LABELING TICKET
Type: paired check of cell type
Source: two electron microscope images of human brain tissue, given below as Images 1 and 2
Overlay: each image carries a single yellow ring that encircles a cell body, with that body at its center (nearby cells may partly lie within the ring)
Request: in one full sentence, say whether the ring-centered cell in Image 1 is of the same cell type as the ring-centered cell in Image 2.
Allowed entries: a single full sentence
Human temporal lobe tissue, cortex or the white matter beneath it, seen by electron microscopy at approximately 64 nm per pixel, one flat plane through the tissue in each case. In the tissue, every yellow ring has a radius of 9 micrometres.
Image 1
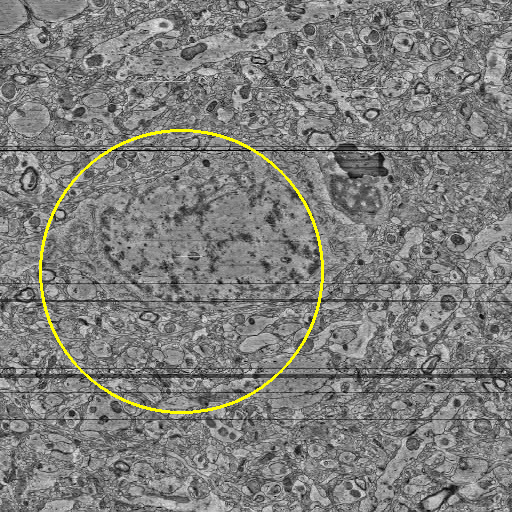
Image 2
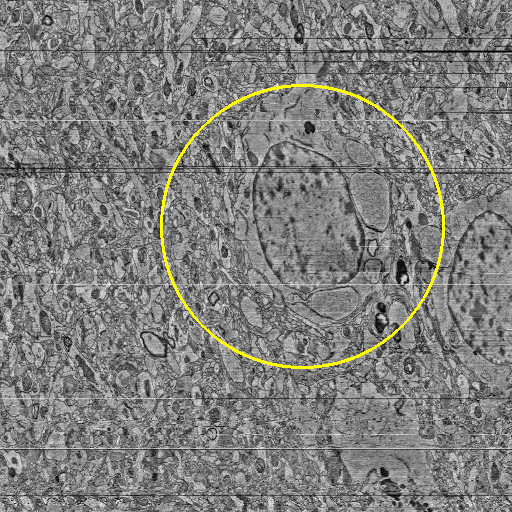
No, the cells centered in the rings of Image 1 and Image 2 are of two types.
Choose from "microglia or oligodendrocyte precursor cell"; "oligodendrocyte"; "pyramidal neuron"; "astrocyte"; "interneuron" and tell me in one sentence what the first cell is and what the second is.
What the first ring is centred on is an interneuron; what the second ring is centred on is an astrocyte.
